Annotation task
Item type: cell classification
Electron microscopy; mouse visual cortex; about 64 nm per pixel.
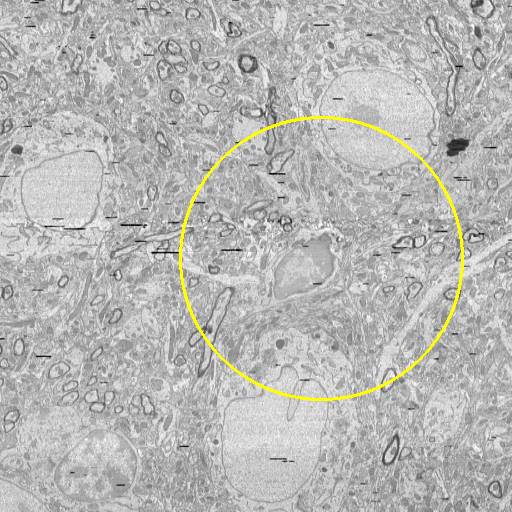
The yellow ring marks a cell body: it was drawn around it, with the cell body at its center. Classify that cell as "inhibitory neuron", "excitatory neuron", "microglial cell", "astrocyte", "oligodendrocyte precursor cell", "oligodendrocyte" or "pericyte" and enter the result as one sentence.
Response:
The ring's center falls on a microglial cell.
